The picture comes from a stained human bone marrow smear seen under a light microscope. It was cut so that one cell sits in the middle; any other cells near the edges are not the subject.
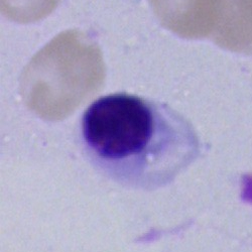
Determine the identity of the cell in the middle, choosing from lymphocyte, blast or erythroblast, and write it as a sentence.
The cell around which this crop is centred is an erythroblast.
